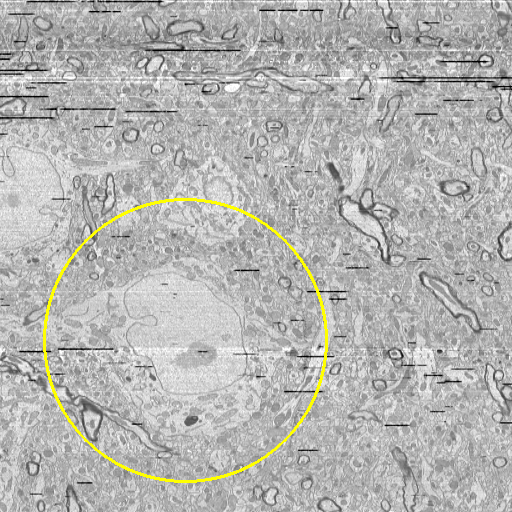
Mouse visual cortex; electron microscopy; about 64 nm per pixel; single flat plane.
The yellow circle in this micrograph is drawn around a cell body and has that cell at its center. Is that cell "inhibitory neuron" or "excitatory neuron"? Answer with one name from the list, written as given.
excitatory neuron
